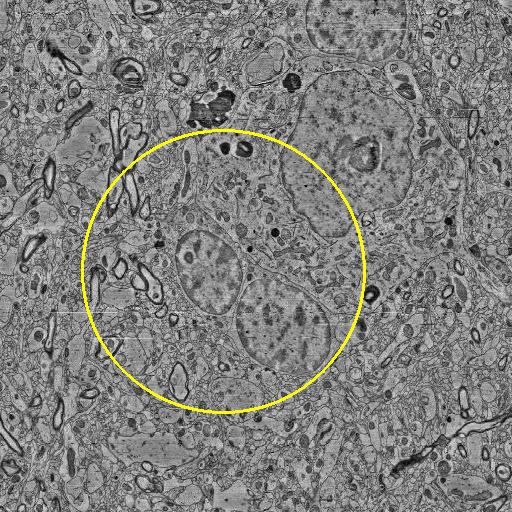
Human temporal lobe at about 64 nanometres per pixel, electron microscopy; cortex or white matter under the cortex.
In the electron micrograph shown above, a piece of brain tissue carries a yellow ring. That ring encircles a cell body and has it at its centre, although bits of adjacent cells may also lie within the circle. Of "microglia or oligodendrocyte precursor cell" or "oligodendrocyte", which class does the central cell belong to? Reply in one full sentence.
The cell body at the centre of the yellow ring belongs to an oligodendrocyte.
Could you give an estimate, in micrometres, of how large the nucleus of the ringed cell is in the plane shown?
The nucleus works out at approximately 6 by 4 micrometres in this plane.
